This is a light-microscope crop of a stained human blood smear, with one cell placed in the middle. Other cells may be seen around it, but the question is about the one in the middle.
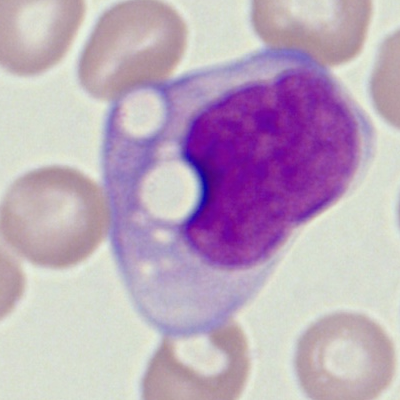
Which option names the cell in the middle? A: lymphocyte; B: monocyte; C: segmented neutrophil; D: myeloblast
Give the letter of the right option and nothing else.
B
